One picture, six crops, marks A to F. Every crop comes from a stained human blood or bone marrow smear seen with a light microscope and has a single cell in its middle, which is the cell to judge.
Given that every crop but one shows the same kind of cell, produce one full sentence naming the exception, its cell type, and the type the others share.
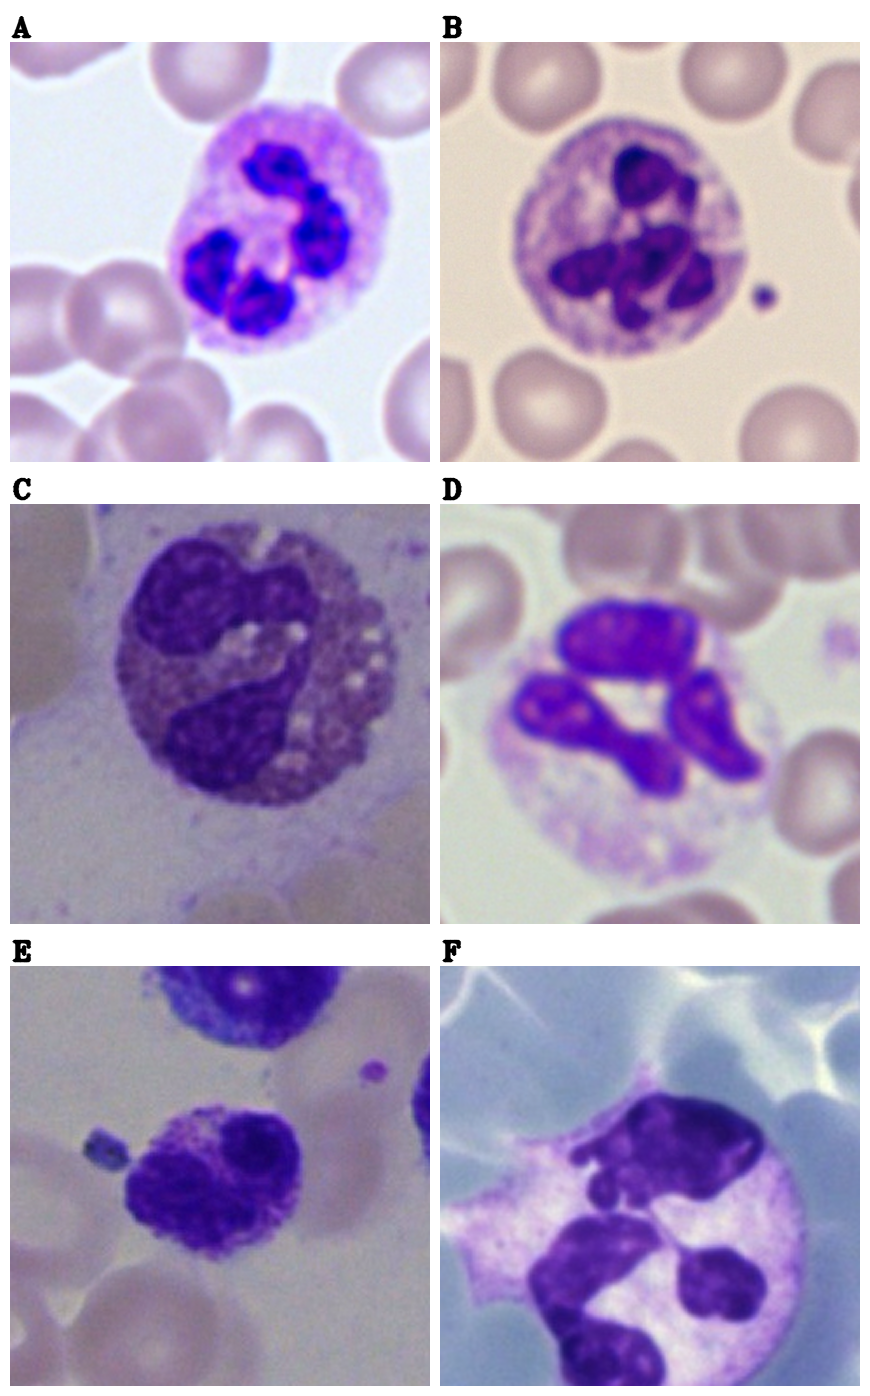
Apart from crop C, an eosinophil, the crops all show neutrophils.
